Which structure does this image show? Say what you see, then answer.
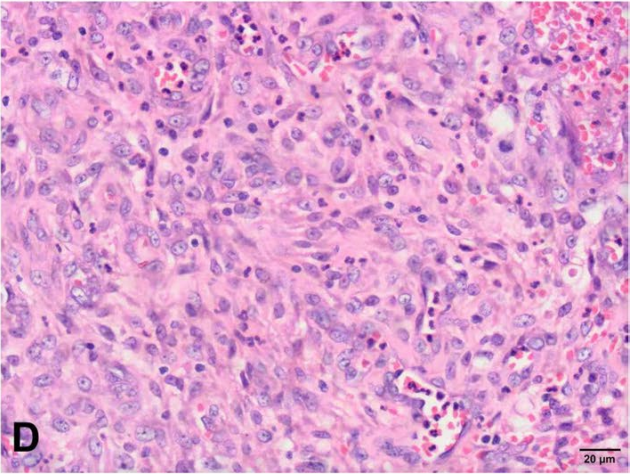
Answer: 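Blood vessels. Small channels containing red blood cells lie among the tumor cells. A cluster of red blood cells fills the upper right corner.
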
